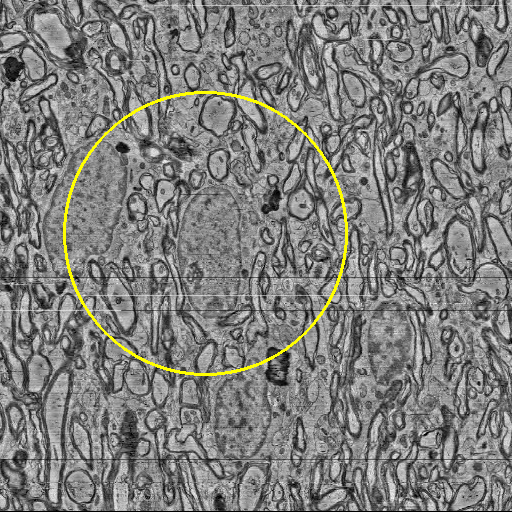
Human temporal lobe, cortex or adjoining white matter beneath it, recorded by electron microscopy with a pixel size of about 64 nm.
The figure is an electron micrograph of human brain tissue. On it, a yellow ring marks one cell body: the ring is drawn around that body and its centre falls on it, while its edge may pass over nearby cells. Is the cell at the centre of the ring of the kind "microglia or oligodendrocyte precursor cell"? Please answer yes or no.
no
